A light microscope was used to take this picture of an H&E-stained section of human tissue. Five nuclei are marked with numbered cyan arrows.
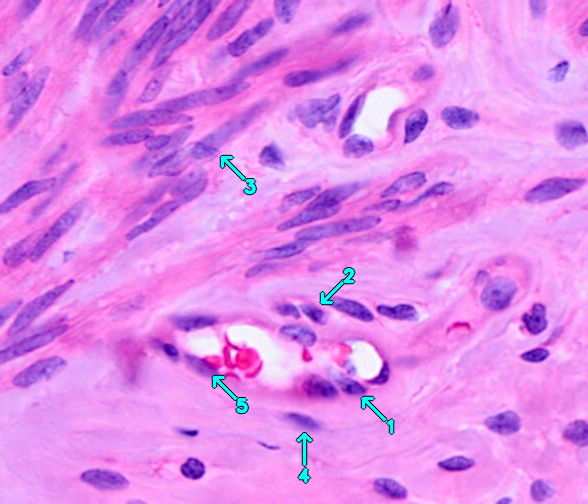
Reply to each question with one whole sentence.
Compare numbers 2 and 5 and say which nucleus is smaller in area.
It is nucleus 2; nucleus 5 has about 1.5 times its area.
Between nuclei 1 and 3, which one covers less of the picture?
The smaller nucleus is 1, and 3 covers roughly 1.5 times its area.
